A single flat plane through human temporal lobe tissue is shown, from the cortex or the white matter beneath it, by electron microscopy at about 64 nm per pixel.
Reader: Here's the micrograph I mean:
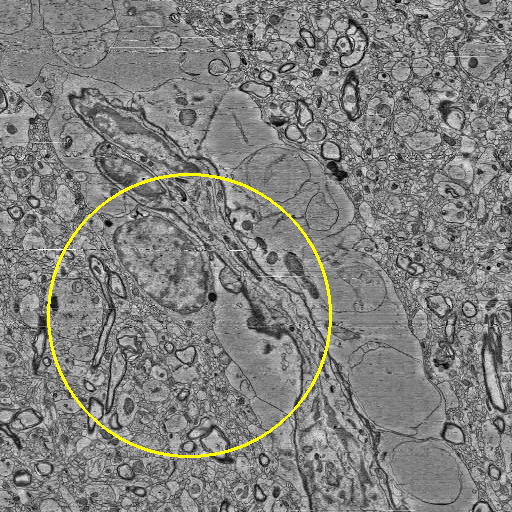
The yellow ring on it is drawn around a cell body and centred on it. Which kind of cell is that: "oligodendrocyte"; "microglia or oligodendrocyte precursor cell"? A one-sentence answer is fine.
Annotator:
The ring is centred on an oligodendrocyte.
